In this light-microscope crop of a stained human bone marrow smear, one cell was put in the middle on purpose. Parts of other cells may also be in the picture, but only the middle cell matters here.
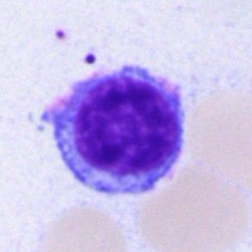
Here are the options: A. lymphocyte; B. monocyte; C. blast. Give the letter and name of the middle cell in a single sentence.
The cell shown centrally is a lymphocyte; option A is the correct option.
